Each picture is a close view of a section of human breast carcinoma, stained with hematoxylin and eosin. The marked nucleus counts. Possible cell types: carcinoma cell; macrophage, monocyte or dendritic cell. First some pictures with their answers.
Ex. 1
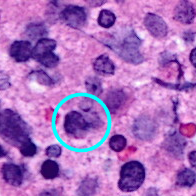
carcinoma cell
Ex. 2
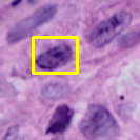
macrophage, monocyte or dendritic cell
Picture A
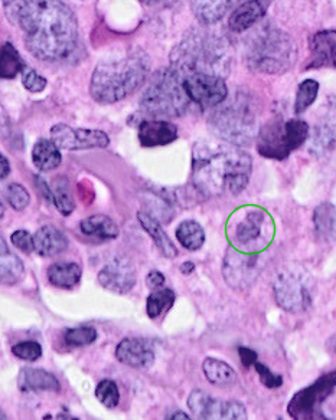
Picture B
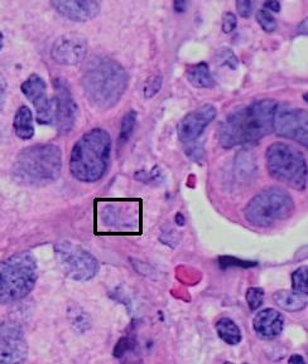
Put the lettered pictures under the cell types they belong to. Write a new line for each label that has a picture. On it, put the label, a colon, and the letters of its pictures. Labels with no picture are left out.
macrophage, monocyte or dendritic cell: A, B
